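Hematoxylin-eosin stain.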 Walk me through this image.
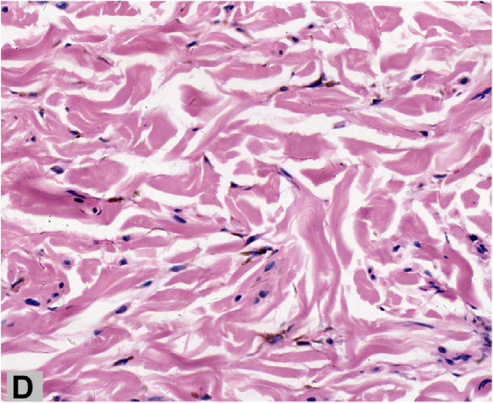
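This is dermis with pigmented, elongated, dendritic cells scattered among thick collagen bundles. The collagen forms broad, wavy, bright pink bundles separated by narrow clear clefts. Between the bundles lie scattered slender cells with small dark elongated nuclei. The pigmented cells lie singly rather than in clusters.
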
